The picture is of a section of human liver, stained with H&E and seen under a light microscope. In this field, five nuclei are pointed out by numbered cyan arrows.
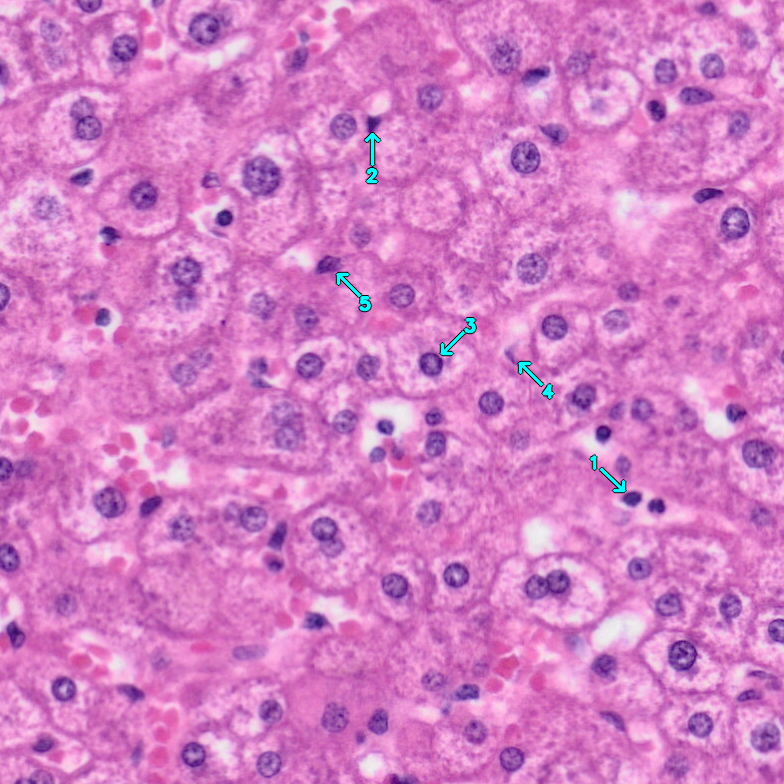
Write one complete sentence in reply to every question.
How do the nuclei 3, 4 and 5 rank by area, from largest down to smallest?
From largest to smallest, the order is 3, 5, 4.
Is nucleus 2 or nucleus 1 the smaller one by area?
Nucleus 2 covers less area, with nucleus 1 about 2 times as large.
